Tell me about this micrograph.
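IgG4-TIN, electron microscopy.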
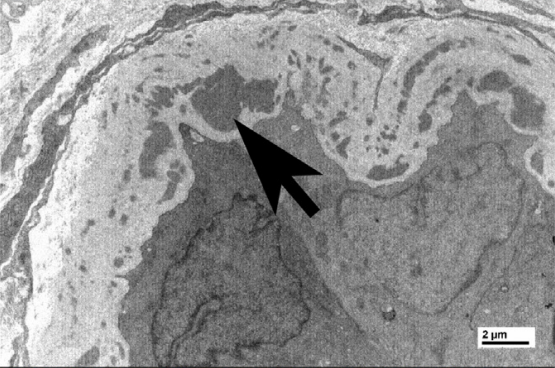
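This electron micrograph shows the base of tubular epithelial cells resting on a thickened, layered basement membrane. Large grey nuclei of the epithelial cells fill the lower part of the picture. Above them the basement membrane forms a broad pale band with wavy, multilayered darker lines toward its outer side. Within this band, close to the cells, lie dark, irregular, structureless deposits, one of them marked by the arrow; they are denser than the surrounding membrane and have no inner pattern. Small dark flecks are also scattered along the membrane.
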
